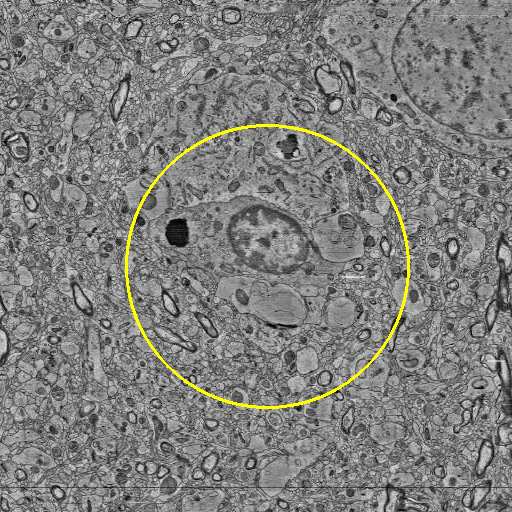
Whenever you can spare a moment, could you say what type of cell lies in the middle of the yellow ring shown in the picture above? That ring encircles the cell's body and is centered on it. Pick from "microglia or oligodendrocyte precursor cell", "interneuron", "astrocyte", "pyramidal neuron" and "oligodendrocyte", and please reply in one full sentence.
The cell whose body sits at the middle of the yellow ring is an oligodendrocyte.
